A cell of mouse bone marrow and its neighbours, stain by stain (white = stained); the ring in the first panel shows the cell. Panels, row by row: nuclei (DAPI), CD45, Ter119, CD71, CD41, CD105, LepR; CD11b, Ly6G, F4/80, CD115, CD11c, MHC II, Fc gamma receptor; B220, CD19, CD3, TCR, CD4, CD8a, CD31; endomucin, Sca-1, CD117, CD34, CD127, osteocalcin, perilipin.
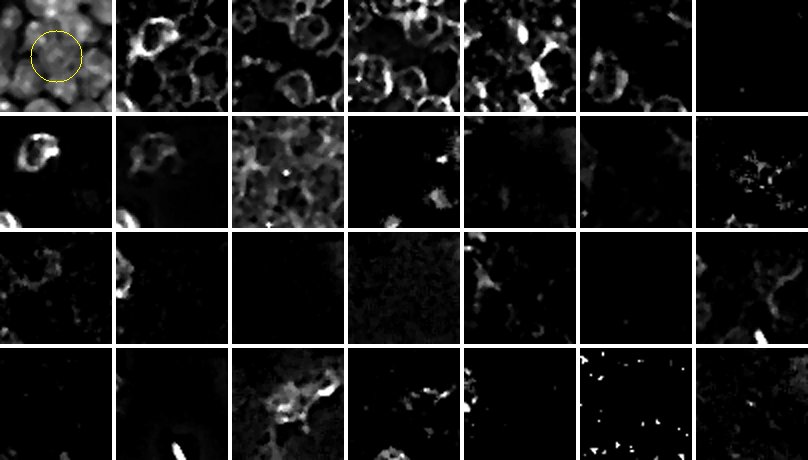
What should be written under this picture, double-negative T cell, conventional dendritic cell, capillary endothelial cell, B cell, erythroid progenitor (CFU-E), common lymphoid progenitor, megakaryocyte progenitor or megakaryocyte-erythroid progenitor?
megakaryocyte-erythroid progenitor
